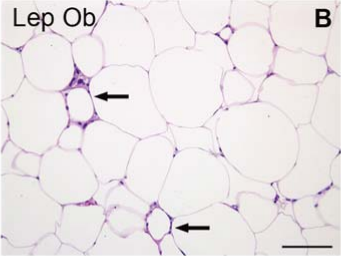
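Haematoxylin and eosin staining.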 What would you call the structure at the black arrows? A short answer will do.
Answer: Crown-like structures.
